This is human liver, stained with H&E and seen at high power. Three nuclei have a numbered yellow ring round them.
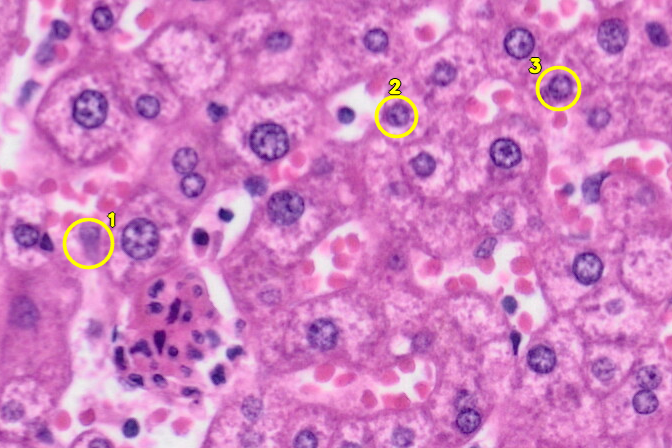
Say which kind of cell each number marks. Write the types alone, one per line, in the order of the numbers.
Kupffer cell
hepatocyte
hepatocyte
